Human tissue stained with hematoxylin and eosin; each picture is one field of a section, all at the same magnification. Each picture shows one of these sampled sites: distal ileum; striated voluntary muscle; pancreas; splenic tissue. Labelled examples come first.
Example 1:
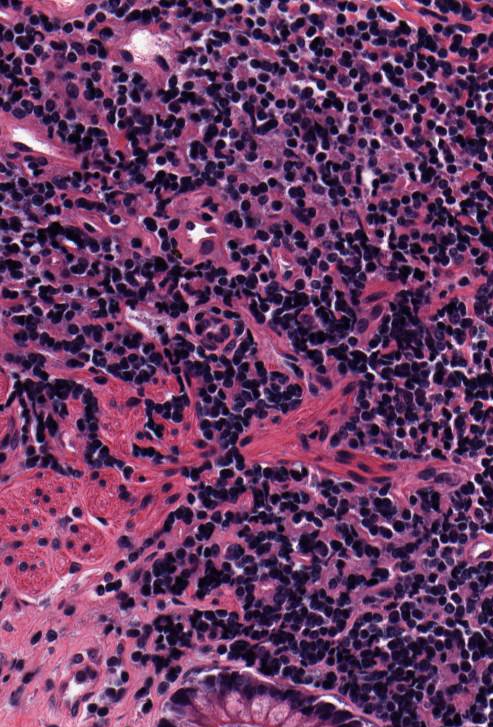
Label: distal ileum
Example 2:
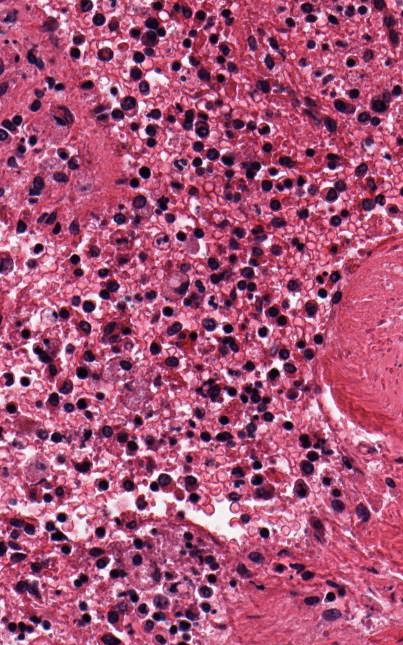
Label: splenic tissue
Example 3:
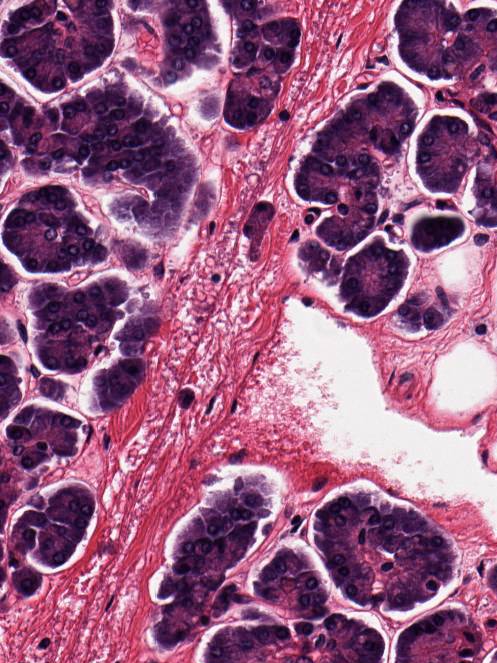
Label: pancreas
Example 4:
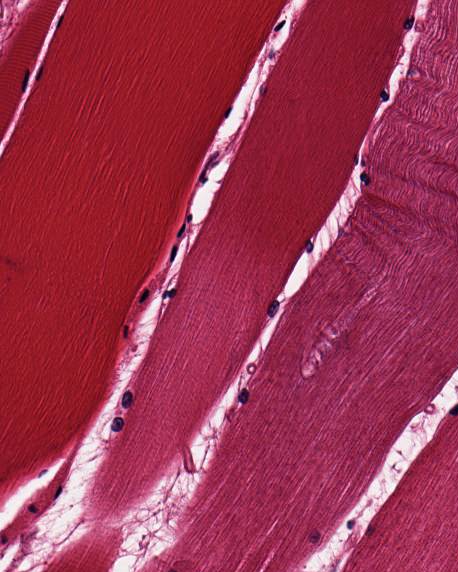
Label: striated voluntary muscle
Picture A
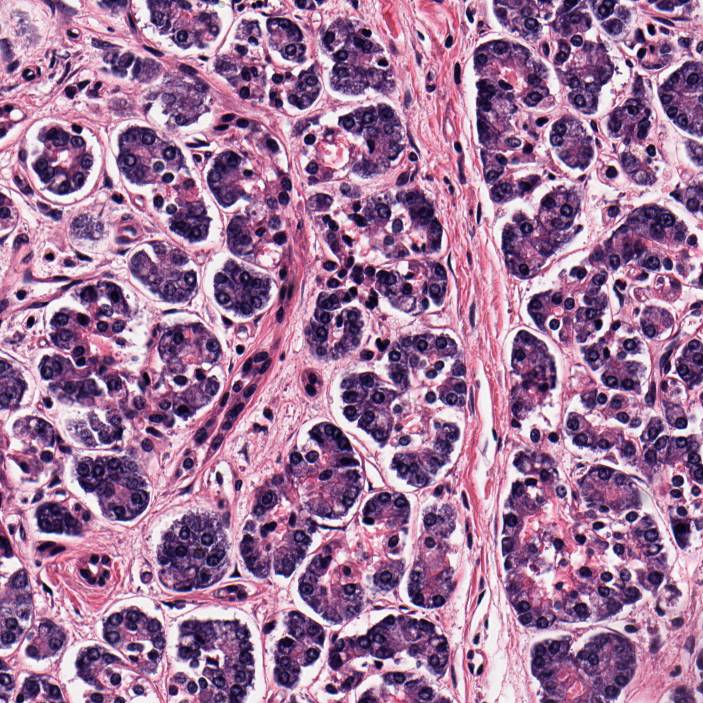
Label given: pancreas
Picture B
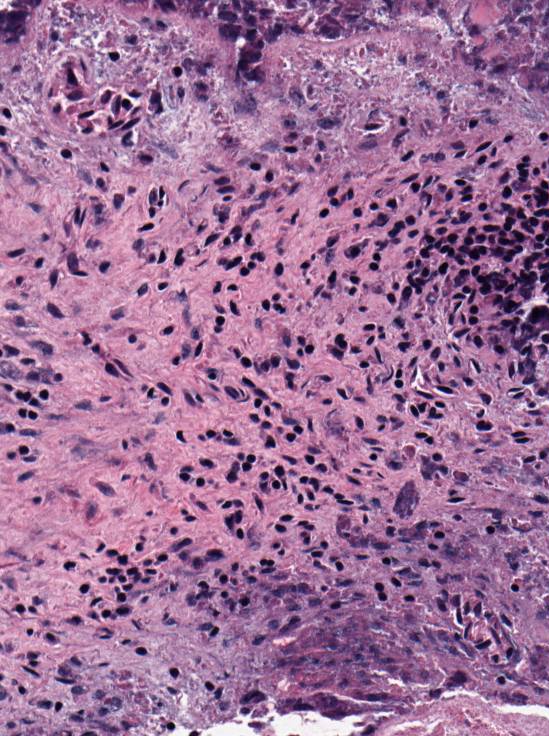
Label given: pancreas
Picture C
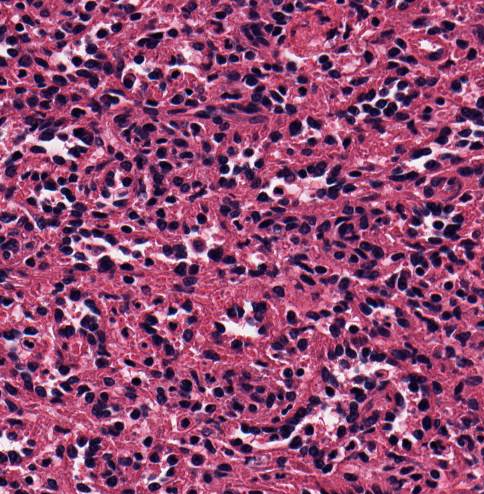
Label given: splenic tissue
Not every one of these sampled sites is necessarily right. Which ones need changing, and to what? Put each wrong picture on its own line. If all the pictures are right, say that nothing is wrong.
B: not pancreas but distal ileum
